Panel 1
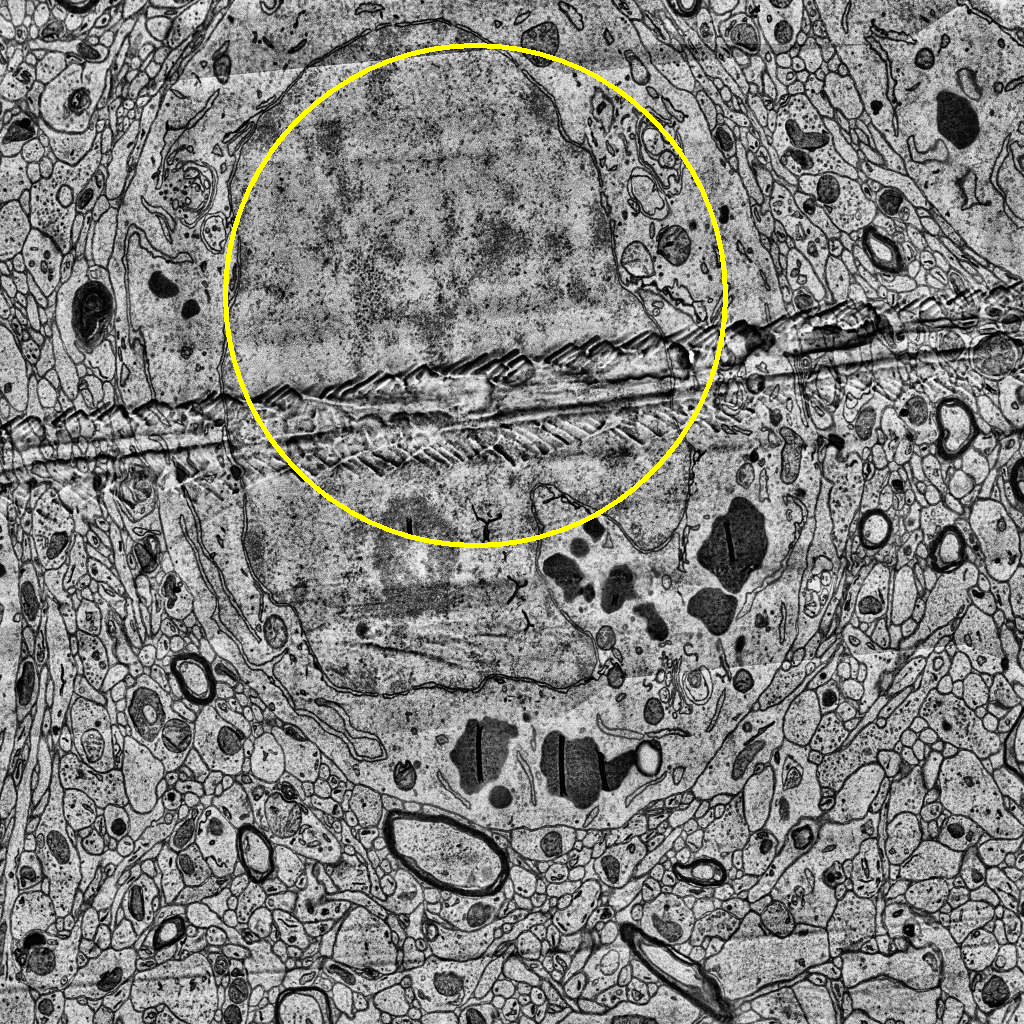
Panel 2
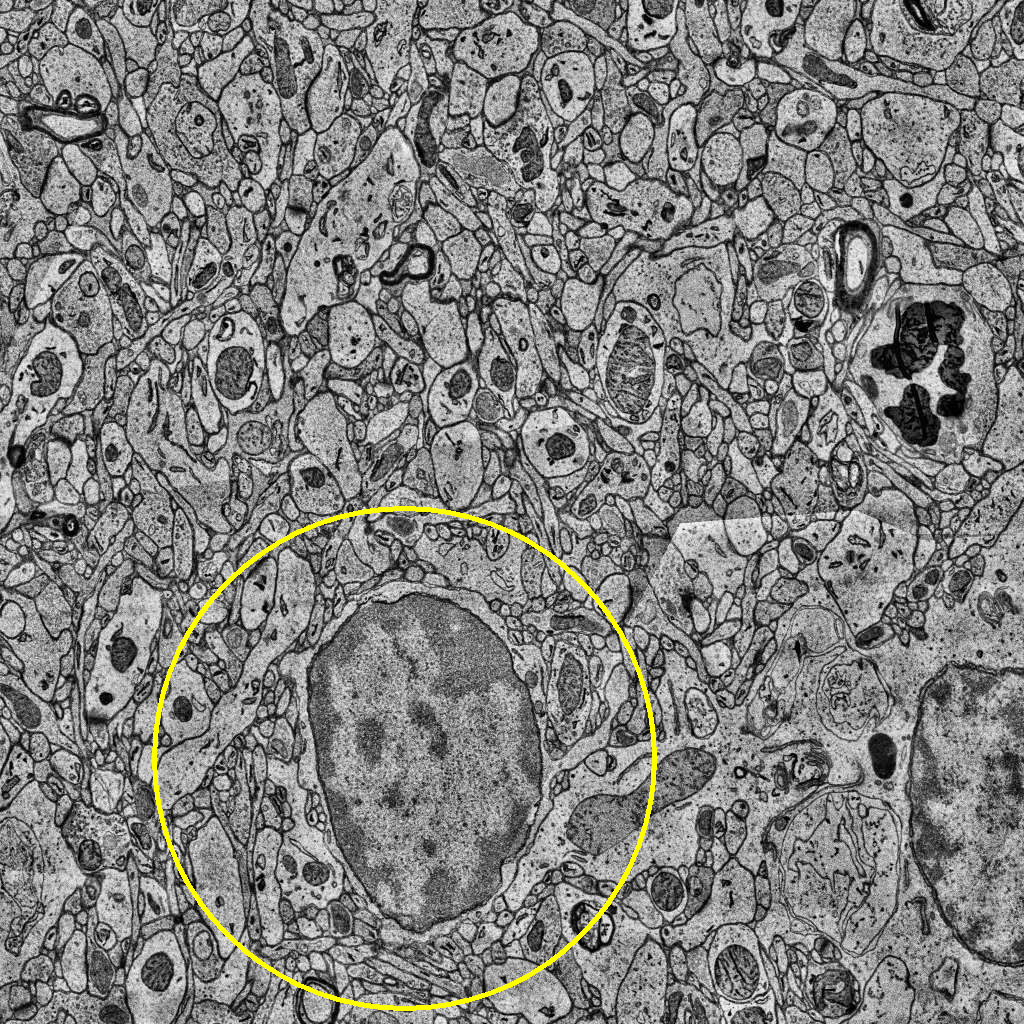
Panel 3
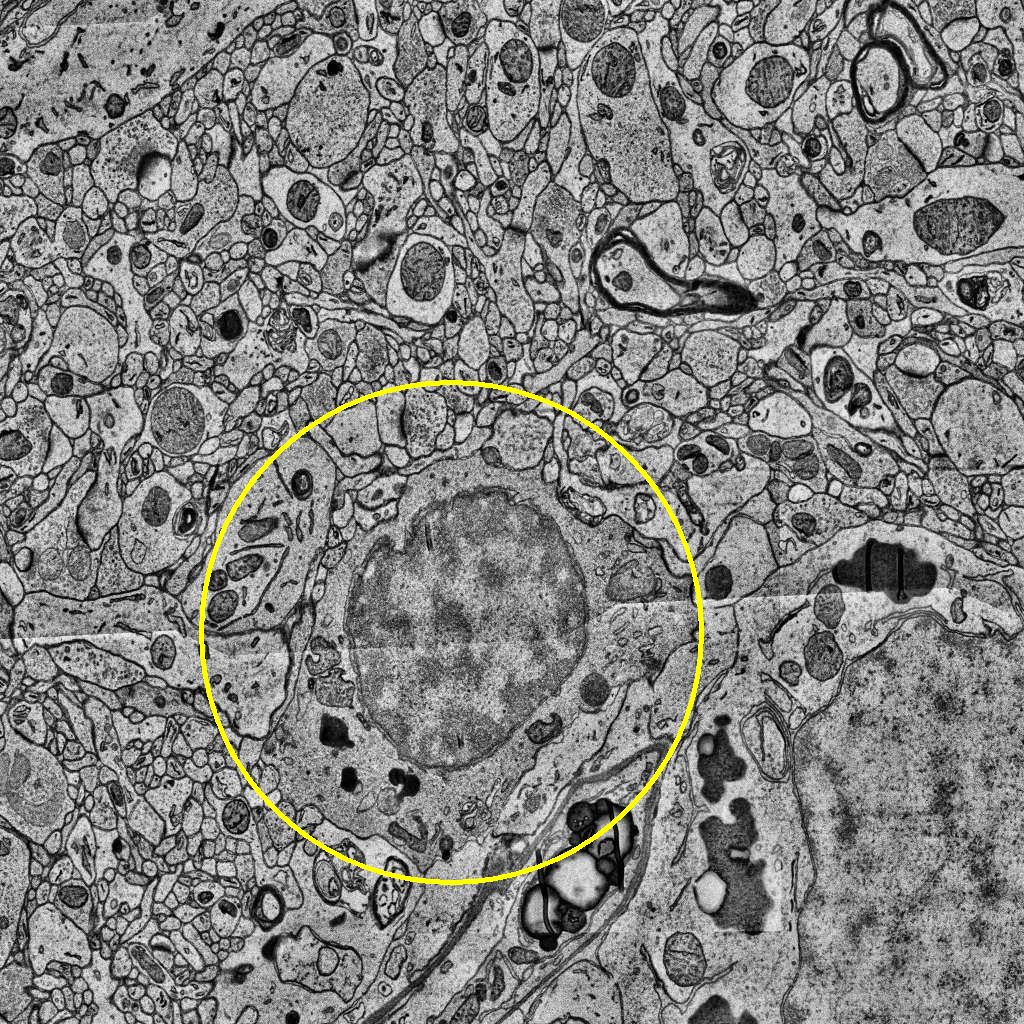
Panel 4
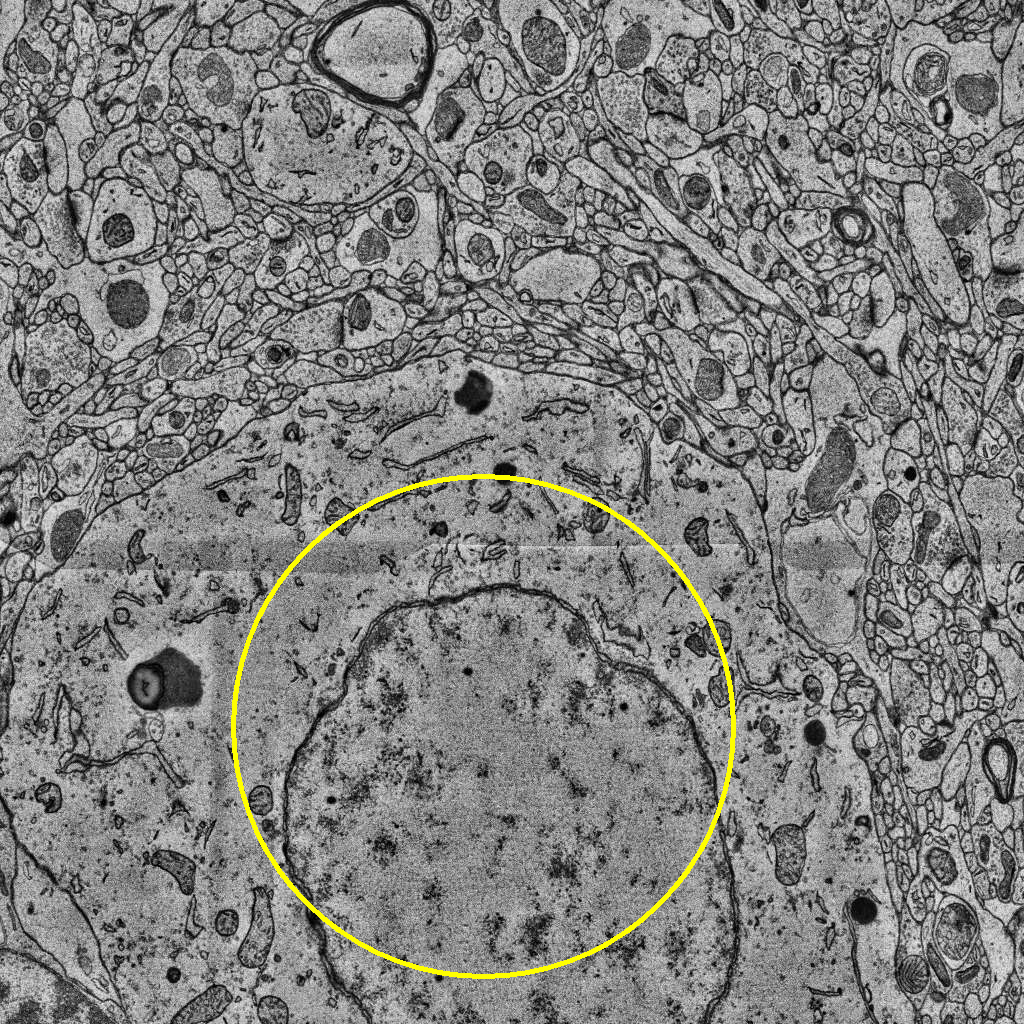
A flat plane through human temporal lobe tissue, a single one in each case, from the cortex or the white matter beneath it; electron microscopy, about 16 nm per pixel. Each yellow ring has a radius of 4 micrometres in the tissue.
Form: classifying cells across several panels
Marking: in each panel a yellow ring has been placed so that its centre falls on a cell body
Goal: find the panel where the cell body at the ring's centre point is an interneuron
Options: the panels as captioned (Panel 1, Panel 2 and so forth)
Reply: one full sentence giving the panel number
Panel 1 shows the wanted cell, with the centre of its ring lying inside it.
